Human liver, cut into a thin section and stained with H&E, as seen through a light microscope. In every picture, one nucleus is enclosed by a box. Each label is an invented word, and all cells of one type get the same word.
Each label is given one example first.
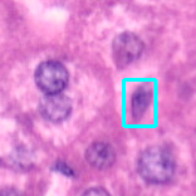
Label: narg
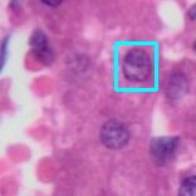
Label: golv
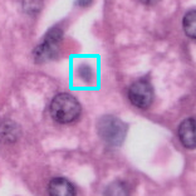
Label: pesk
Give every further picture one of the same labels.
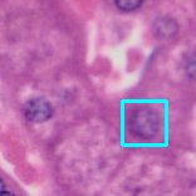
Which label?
golv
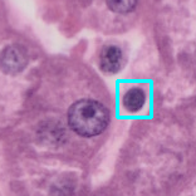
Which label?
pesk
